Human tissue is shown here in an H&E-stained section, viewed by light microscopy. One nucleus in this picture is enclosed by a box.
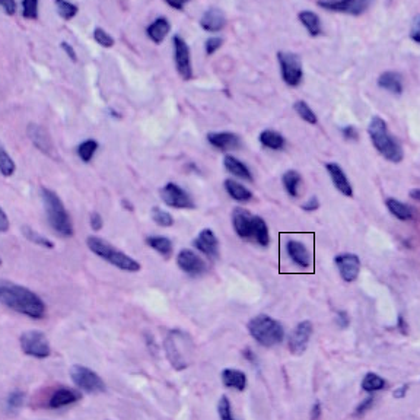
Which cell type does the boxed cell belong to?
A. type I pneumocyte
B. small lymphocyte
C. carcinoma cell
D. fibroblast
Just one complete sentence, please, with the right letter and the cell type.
The right option is D, the boxed cell being a fibroblast.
